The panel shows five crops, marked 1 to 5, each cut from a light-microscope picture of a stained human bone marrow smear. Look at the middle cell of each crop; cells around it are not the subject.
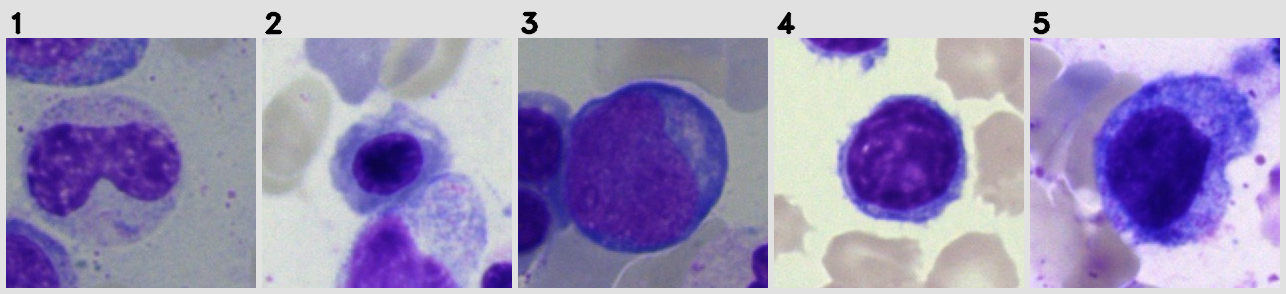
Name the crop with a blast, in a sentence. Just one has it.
Crop 3, and no other, shows a blast.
